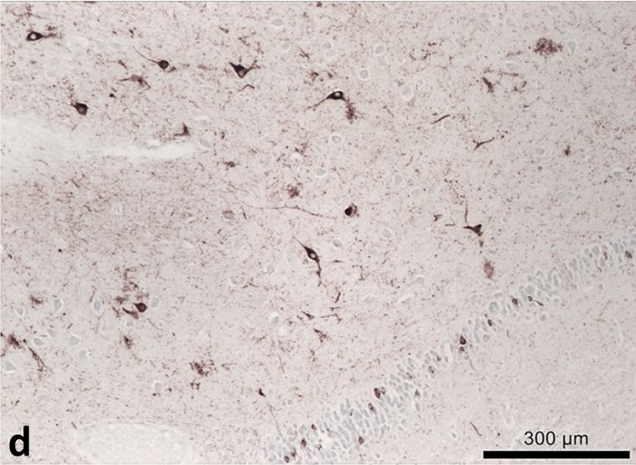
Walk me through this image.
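A band of tightly packed small round granule cells curves along the lower right, mostly unstained with a few brown cells in it. Above it, larger neurons lie scattered, several with their cell bodies and proximal processes filled with dark brown stain in triangular or flame-like shapes. Short brown threads and small stained dots are spread through the neuropil between them. Unstained neurons appear as pale outlines among the stained ones.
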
